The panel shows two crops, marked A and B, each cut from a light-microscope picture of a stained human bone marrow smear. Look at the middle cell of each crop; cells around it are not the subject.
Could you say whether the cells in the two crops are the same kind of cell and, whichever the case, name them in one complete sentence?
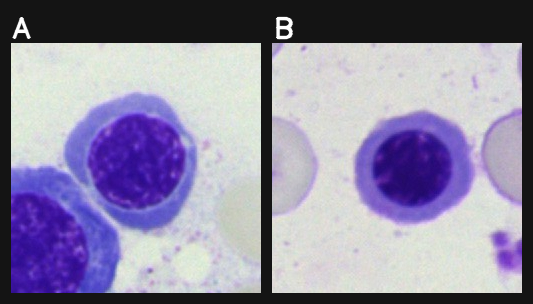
Yes, both crops show erythroblasts, the one and the other.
